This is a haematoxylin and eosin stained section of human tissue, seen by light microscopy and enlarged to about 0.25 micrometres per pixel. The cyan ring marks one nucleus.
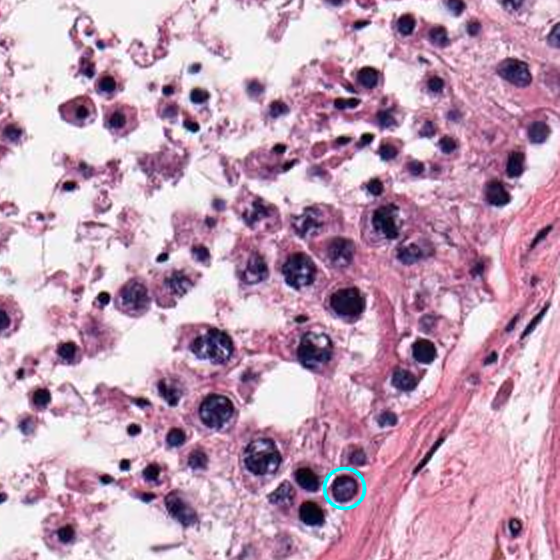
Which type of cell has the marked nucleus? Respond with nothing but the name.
spermatogonium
